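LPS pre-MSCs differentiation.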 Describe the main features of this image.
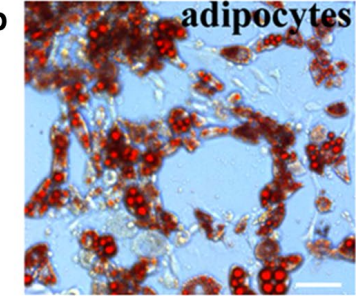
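The droplets vary in size, some large and spherical, others small and crowded together within a cell. The cells gather in irregular clusters and cords, leaving pale blue empty spaces between them. Some cells around the clusters hold few or no red droplets.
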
